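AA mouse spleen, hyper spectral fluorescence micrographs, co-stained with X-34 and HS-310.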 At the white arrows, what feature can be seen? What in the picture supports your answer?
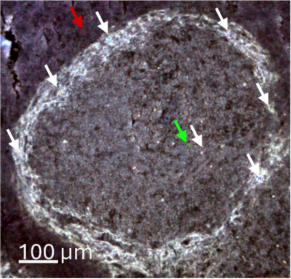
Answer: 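Amyloid follicle rim. The band forms a ring around a darker, round area.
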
